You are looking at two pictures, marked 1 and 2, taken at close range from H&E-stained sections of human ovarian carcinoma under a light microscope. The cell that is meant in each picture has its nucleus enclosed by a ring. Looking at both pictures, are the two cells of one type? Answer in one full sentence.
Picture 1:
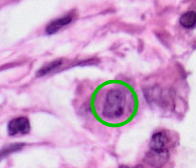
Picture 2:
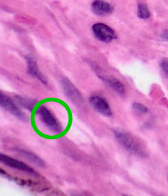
No, picture 1 shows a “macrophage or monocyte” and picture 2 shows a fibroblast.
